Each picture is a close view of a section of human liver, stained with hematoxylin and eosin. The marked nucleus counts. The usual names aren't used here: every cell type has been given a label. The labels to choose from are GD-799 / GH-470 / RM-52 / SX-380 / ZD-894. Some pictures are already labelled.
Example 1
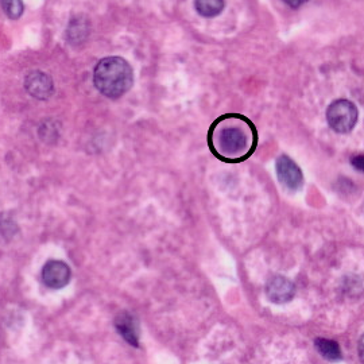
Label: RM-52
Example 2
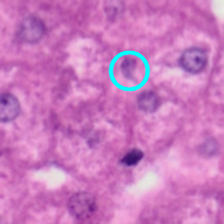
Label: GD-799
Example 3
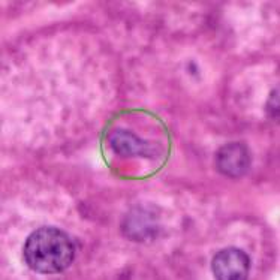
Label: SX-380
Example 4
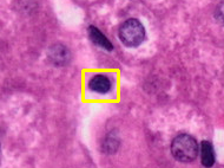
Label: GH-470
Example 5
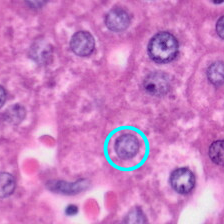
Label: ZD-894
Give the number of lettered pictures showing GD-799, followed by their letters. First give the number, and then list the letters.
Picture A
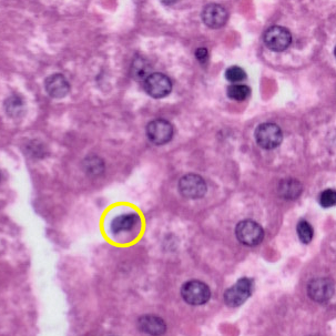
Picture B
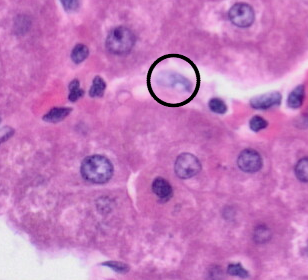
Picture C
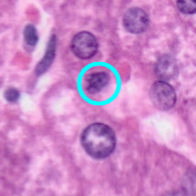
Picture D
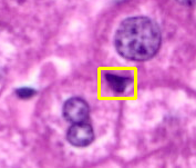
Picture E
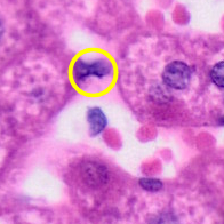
Count: 2 (A, E)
